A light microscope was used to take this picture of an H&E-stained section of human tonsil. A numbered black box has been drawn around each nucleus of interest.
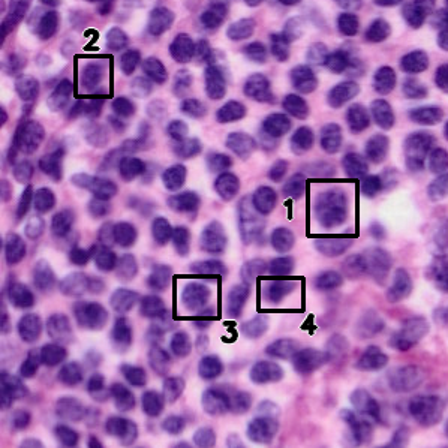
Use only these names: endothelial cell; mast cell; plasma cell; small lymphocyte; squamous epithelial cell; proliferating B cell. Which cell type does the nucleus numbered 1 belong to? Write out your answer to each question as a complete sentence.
The cell numbered 1 represents a proliferating B cell.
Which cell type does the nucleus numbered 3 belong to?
The cell pointed out by number 3 is a small lymphocyte.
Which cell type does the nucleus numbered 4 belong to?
Identified by the number 4, the cell is a small lymphocyte.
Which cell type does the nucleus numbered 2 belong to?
What the number 2 marks in this field is a small lymphocyte.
